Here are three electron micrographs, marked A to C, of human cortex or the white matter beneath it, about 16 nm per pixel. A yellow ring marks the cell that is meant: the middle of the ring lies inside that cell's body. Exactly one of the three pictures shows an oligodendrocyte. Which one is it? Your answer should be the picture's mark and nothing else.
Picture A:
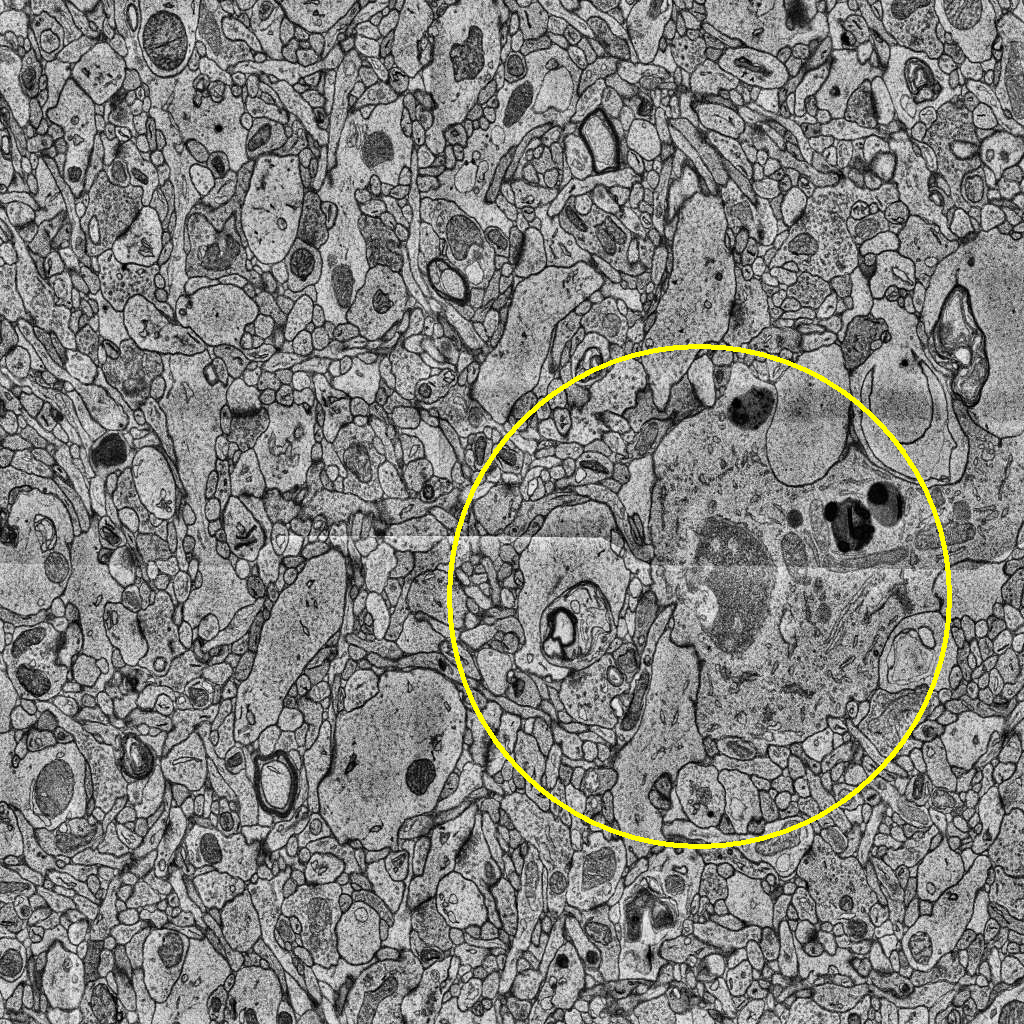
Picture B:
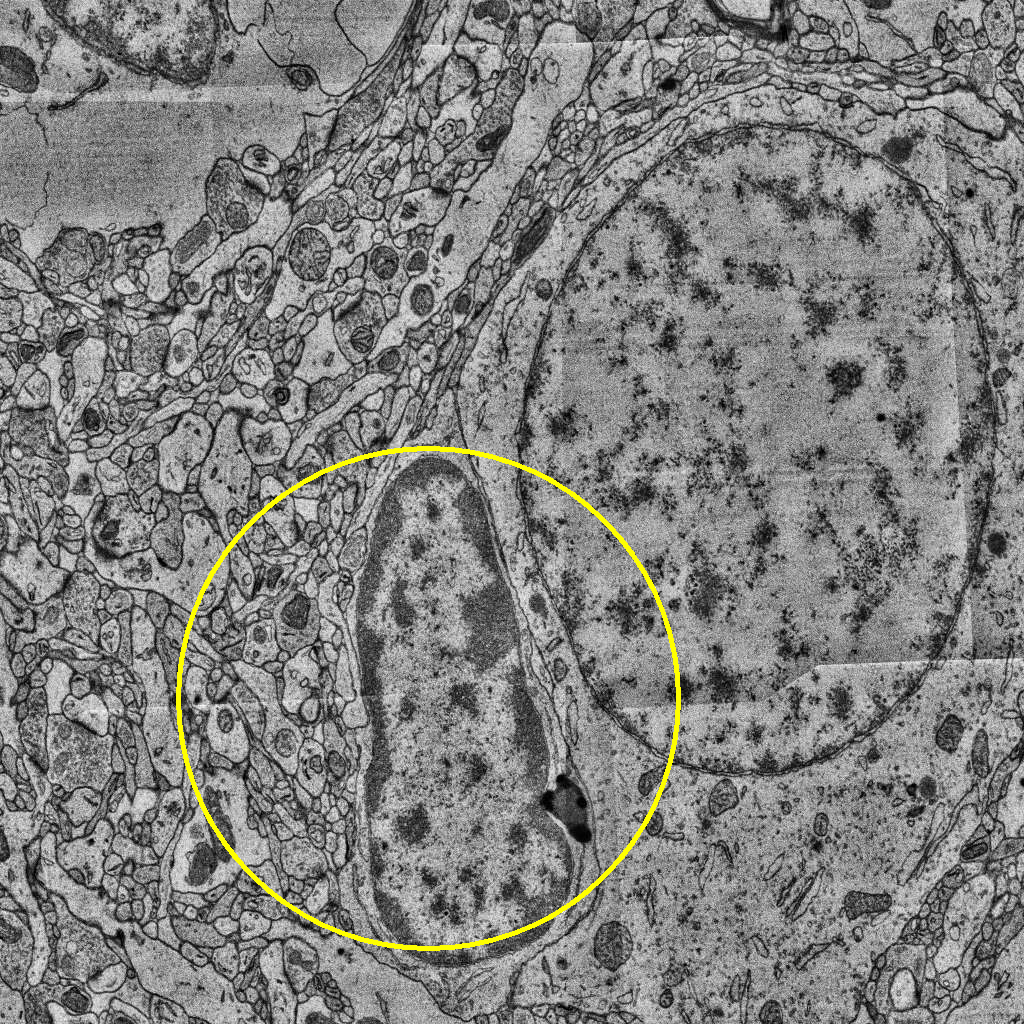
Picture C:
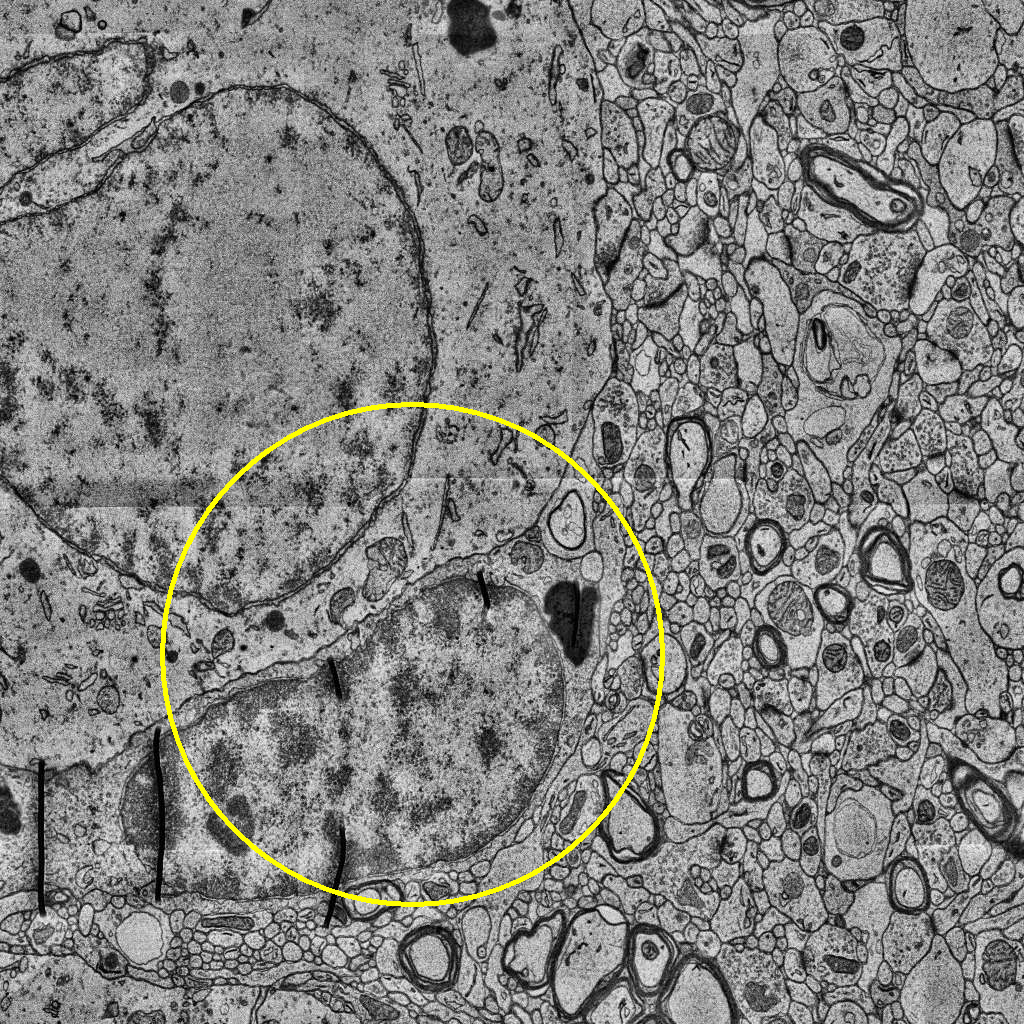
C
